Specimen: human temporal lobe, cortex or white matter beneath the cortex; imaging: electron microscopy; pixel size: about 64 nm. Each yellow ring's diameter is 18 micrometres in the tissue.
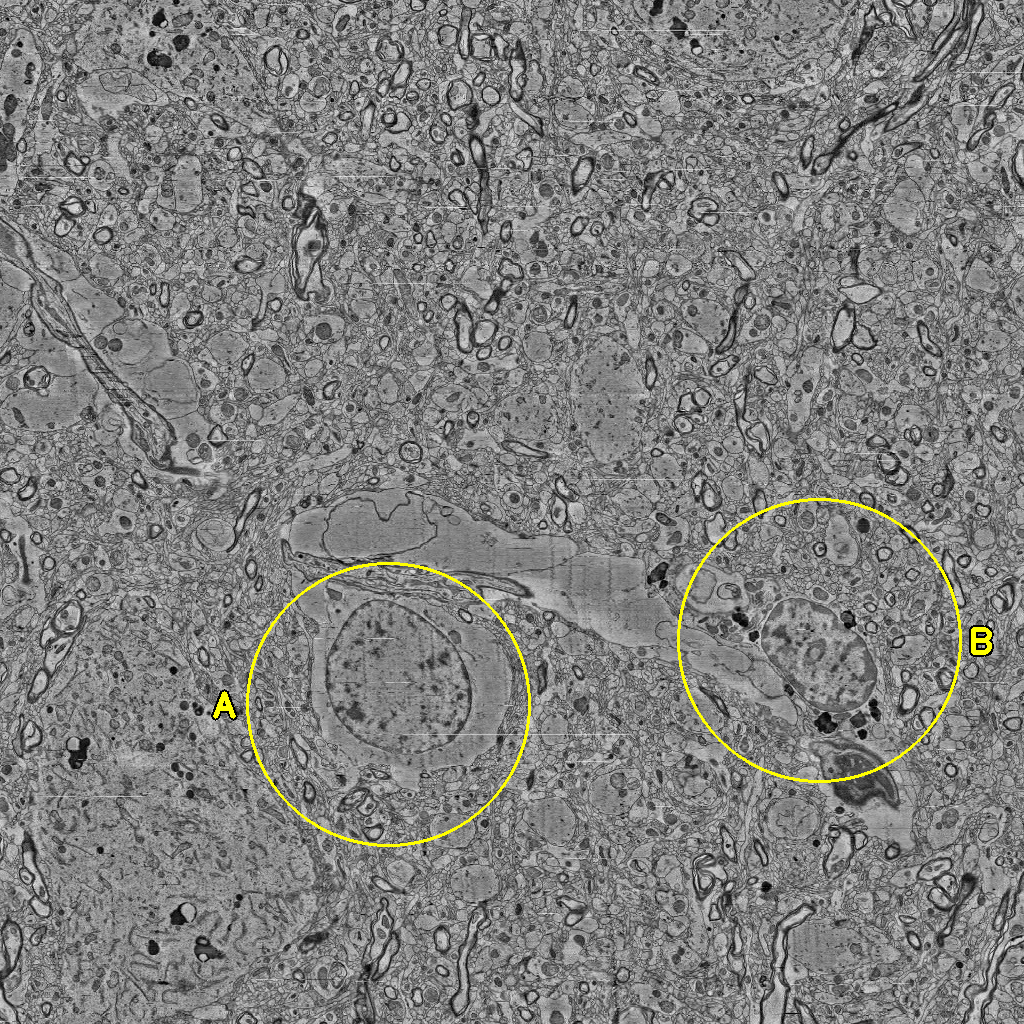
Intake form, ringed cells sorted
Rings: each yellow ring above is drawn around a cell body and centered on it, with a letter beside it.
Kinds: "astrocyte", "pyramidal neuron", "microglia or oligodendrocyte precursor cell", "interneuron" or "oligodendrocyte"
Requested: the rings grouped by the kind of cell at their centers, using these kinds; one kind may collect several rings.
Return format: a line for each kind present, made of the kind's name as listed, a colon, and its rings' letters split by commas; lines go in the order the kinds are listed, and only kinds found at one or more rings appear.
astrocyte: A
microglia or oligodendrocyte precursor cell: B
